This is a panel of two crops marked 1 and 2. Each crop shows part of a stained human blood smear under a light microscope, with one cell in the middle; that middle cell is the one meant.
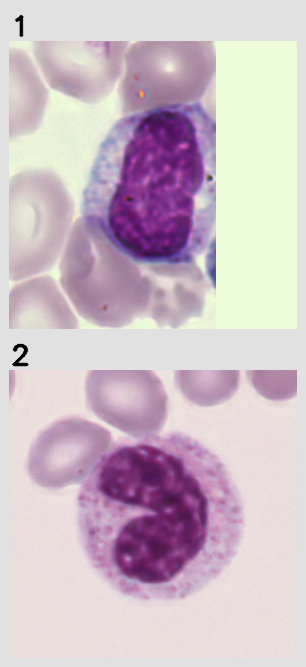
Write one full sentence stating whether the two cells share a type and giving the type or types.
No, record crop 1 as a metamyelocyte and crop 2 as a band neutrophil.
